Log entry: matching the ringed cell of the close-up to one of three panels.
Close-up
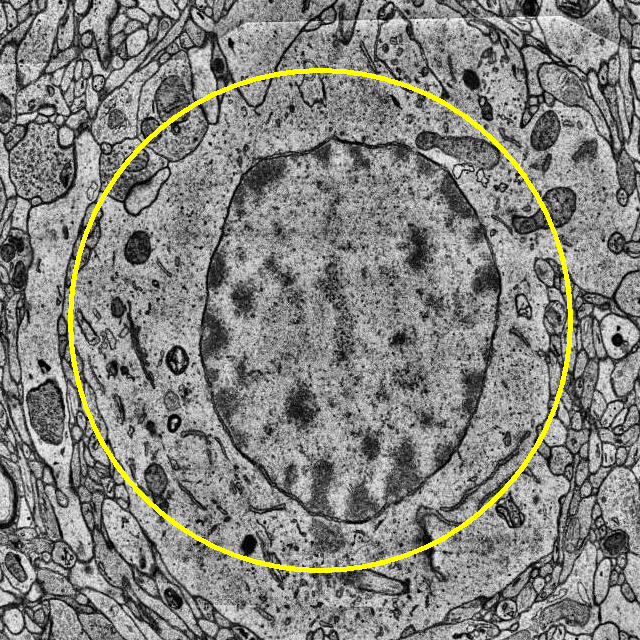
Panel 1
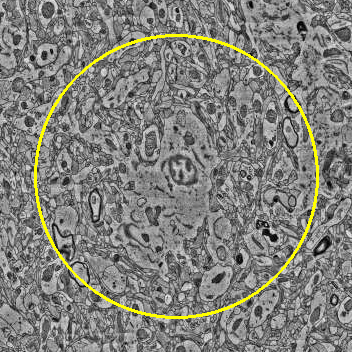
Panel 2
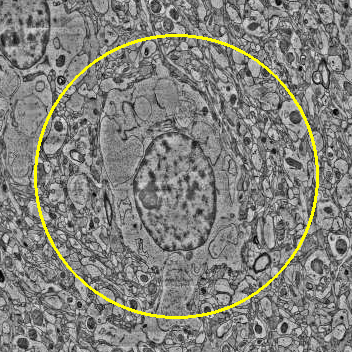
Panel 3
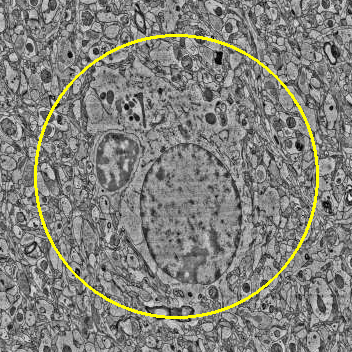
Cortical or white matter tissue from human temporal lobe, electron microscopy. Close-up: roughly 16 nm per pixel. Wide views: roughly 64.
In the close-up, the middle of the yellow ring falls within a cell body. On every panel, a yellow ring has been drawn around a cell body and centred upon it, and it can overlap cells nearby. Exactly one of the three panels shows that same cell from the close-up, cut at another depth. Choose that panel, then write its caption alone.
Panel 1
